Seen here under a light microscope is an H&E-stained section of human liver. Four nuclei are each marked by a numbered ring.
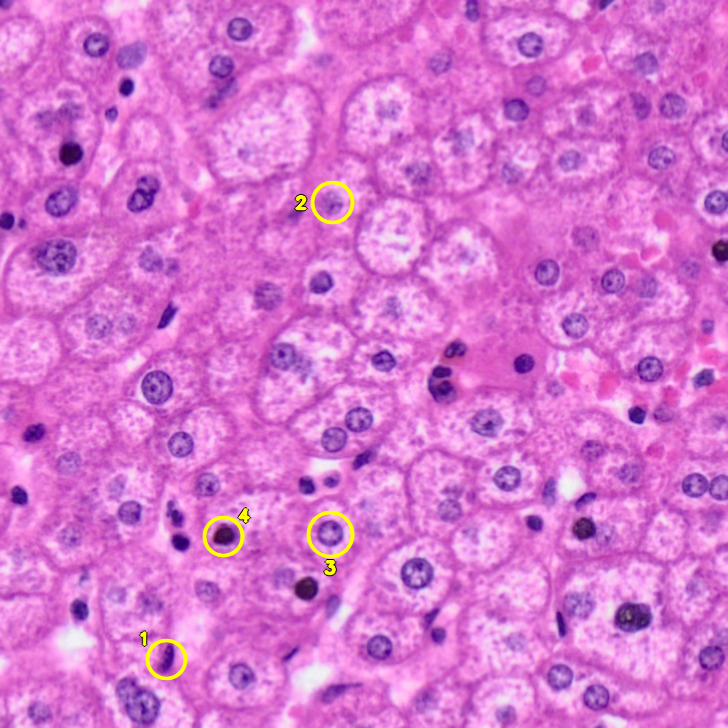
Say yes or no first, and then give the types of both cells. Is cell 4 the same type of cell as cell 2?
Yes, sure, cells 4 and 2 are both hepatocytes.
